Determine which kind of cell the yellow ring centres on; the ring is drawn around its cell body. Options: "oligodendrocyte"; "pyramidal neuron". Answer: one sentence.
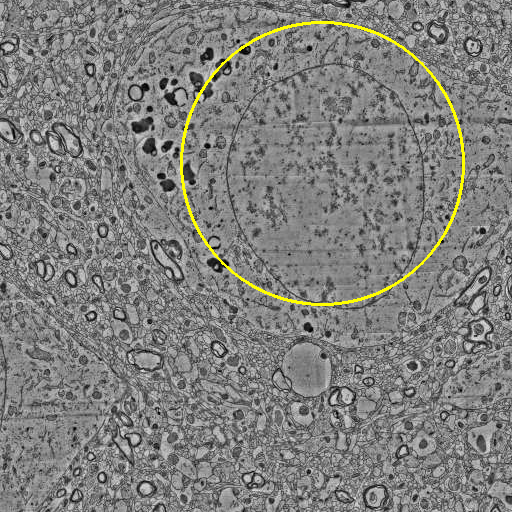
The ring centres on a pyramidal neuron.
